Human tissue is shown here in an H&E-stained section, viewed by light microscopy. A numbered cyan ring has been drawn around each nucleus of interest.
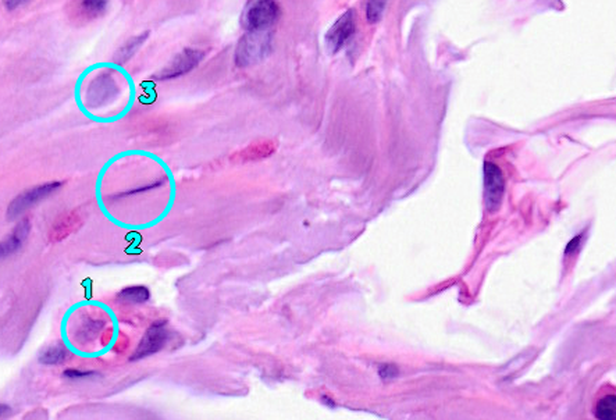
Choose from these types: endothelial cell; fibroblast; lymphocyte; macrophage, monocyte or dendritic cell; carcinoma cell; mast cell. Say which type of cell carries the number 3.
fibroblast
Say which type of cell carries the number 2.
fibroblast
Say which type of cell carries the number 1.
endothelial cell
